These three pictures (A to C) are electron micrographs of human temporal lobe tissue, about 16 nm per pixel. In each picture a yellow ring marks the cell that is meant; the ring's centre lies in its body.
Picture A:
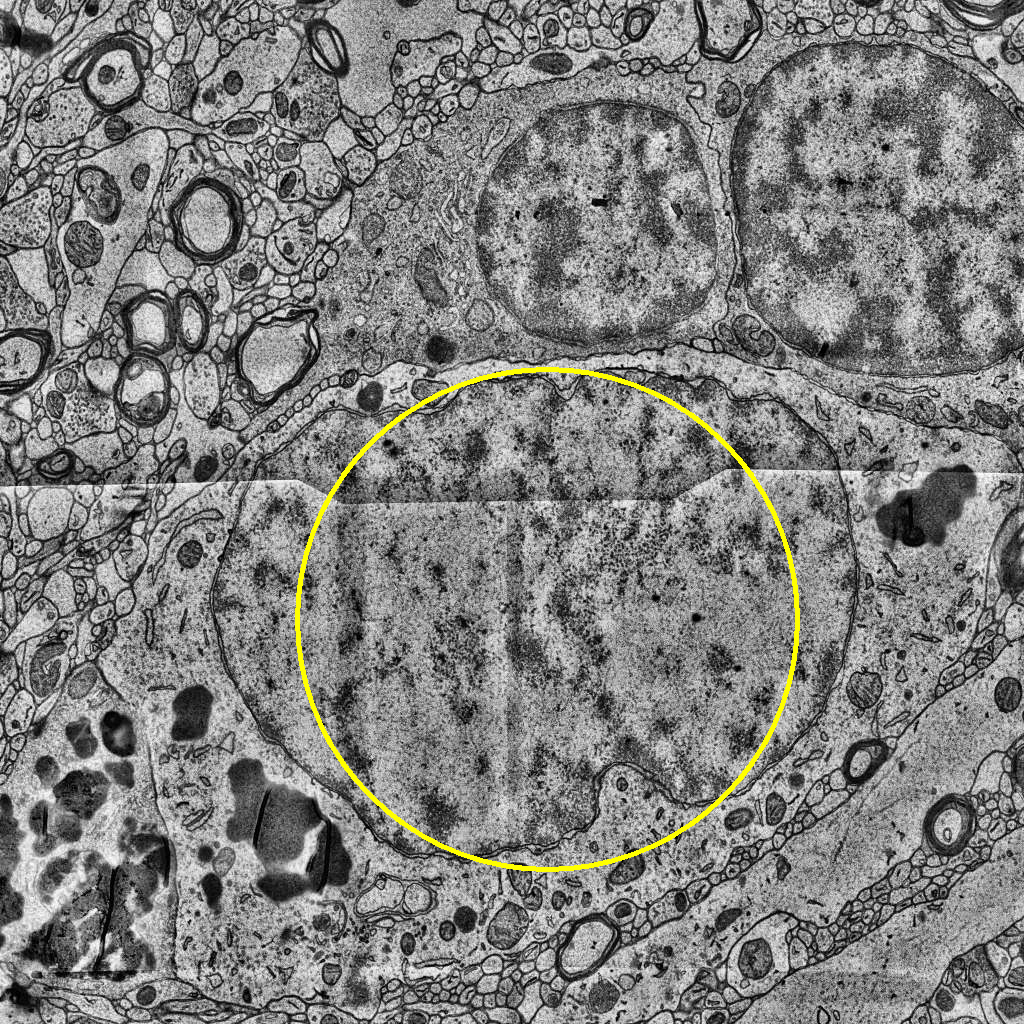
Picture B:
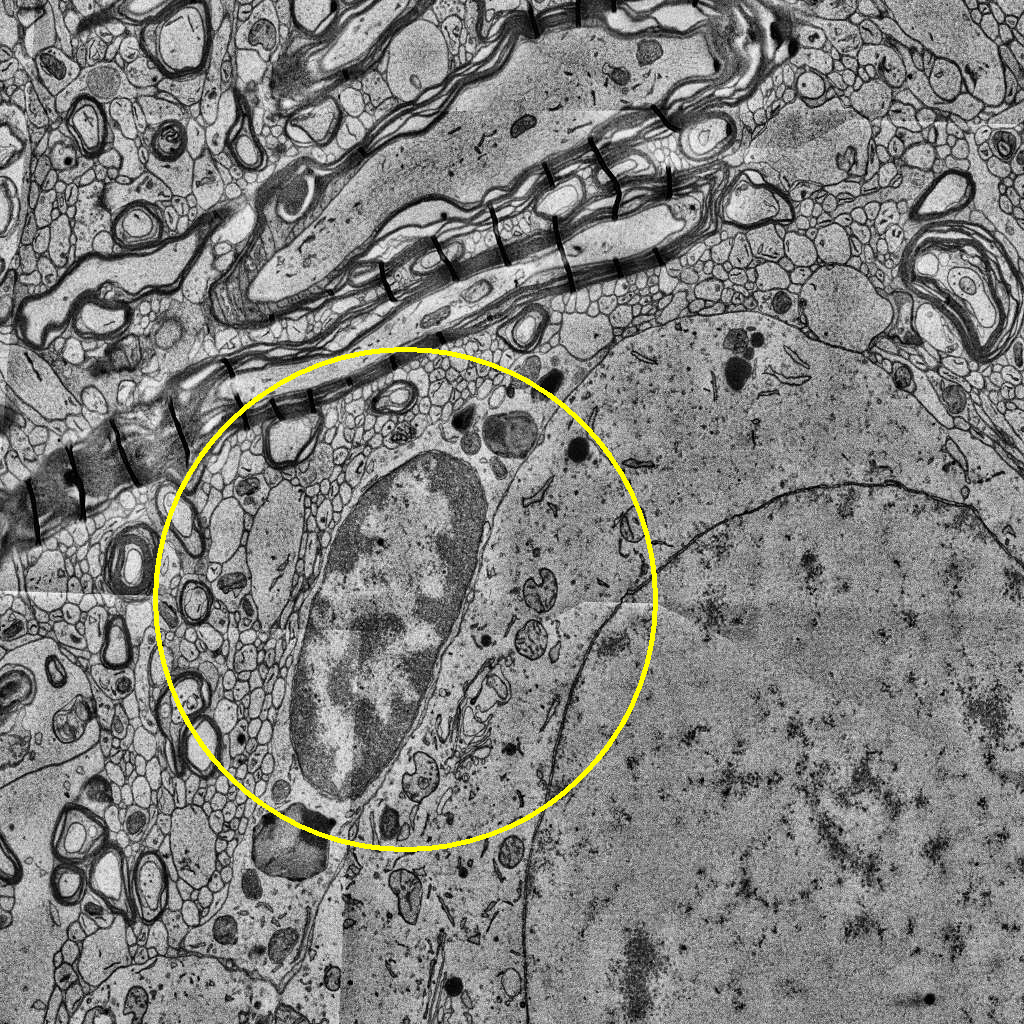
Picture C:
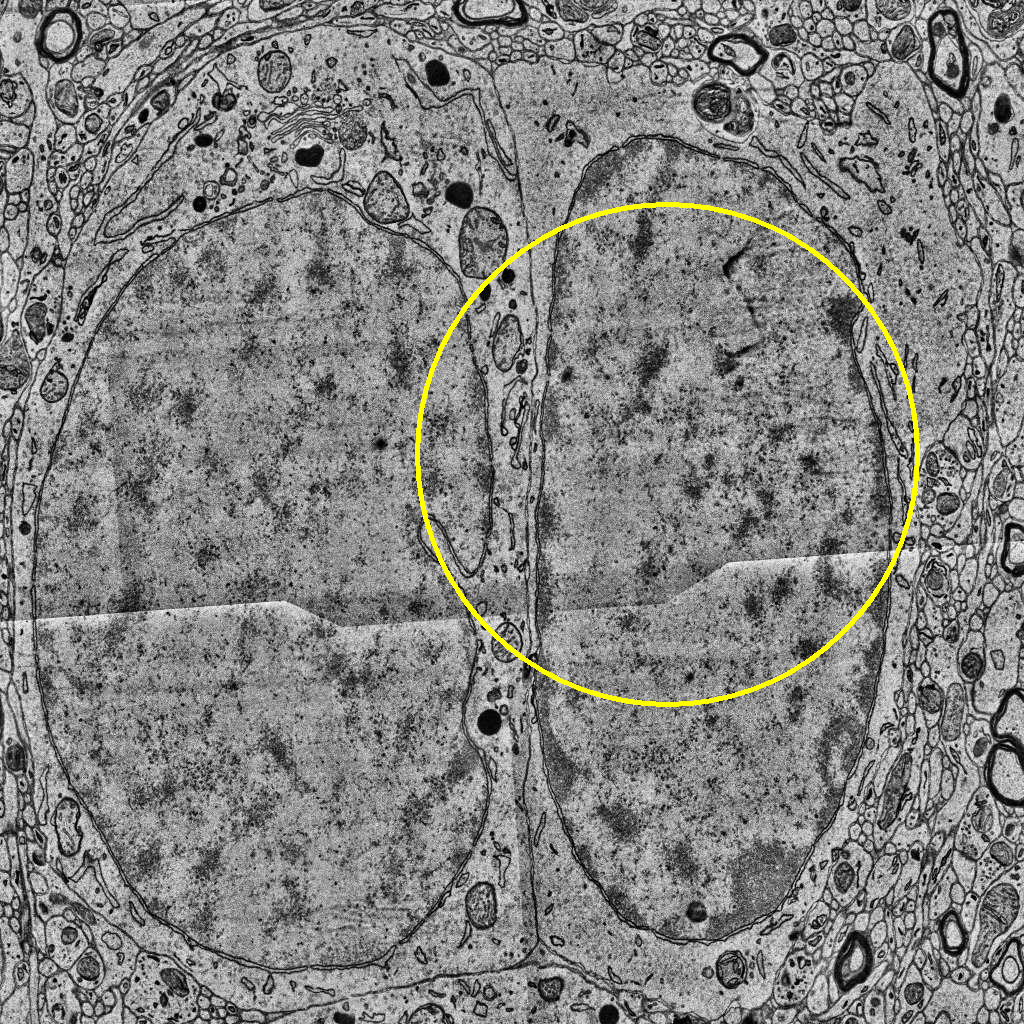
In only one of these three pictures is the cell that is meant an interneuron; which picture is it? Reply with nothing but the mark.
A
